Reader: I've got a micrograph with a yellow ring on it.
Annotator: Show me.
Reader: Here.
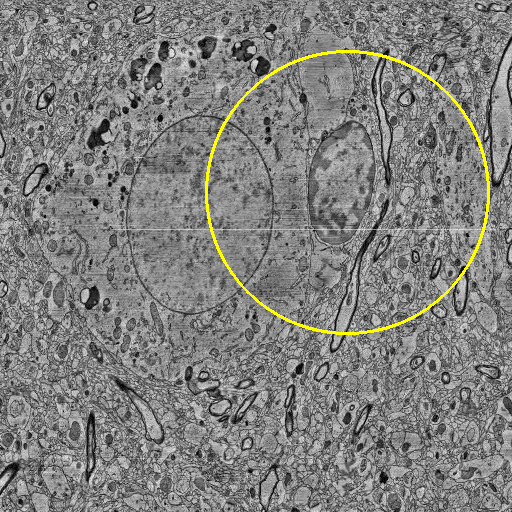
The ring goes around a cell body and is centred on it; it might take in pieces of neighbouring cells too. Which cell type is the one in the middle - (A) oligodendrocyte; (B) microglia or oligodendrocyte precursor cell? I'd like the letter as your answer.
B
